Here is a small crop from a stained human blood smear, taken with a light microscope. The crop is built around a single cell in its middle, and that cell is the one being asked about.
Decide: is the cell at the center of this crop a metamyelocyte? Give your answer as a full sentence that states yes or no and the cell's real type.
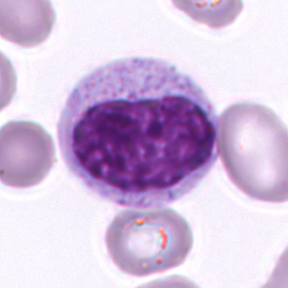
Yes, the cell of interest in the centre is a metamyelocyte.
